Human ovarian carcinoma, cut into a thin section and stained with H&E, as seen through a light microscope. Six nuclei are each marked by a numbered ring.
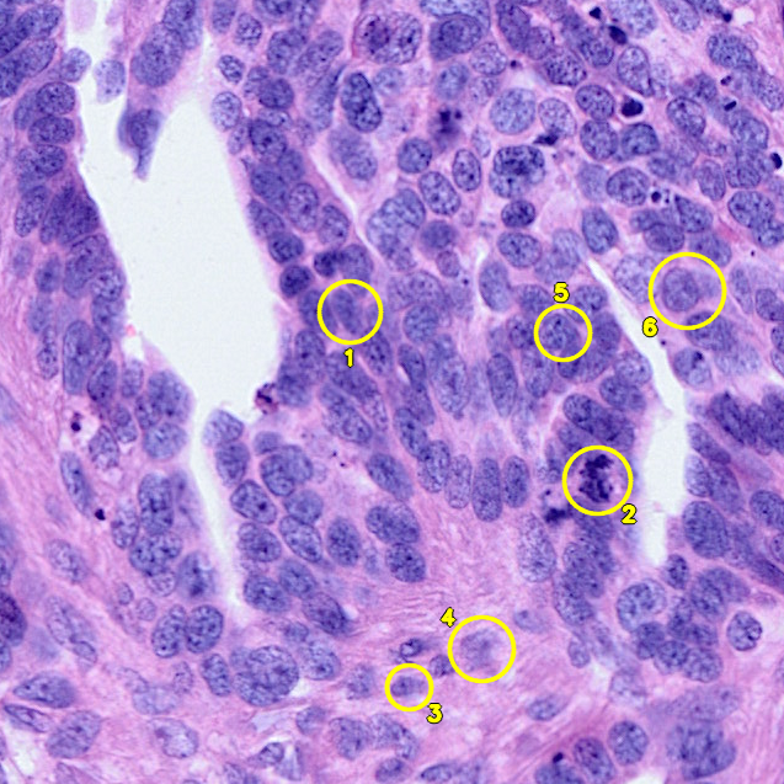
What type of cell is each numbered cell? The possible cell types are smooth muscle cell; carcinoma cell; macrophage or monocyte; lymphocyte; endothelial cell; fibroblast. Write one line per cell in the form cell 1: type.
cell 1: carcinoma cell
cell 2: carcinoma cell
cell 3: fibroblast
cell 4: fibroblast
cell 5: carcinoma cell
cell 6: carcinoma cell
